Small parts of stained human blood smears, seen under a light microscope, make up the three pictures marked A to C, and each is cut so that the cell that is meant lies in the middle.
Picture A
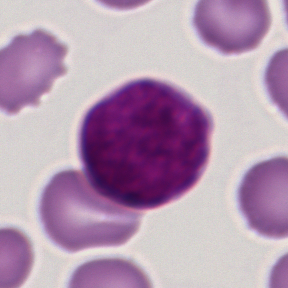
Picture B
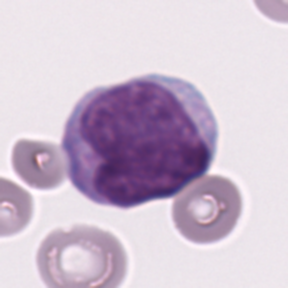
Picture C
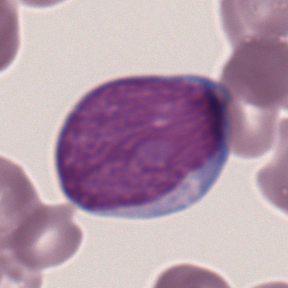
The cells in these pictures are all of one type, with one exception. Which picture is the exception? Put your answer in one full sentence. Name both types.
Picture B differs, because its cell is an atypical promyelocyte and the rest are myeloblasts.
